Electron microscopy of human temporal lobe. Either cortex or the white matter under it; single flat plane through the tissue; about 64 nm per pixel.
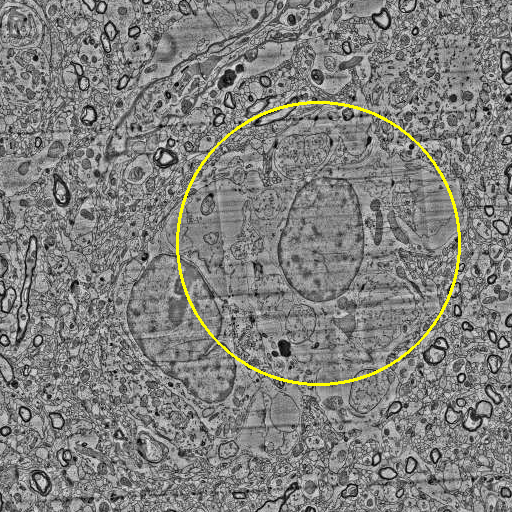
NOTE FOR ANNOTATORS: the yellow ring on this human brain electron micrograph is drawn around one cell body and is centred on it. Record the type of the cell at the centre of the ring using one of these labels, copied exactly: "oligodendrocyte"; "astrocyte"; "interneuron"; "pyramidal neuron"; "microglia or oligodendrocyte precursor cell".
astrocyte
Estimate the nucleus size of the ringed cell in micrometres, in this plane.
The nucleus is approximately 8 micrometers long by 5 micrometers wide in this plane.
